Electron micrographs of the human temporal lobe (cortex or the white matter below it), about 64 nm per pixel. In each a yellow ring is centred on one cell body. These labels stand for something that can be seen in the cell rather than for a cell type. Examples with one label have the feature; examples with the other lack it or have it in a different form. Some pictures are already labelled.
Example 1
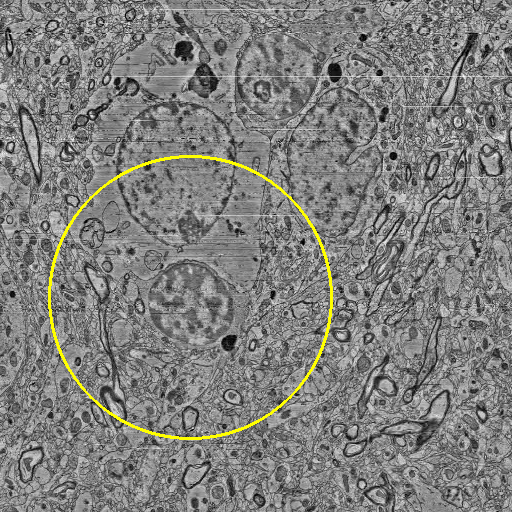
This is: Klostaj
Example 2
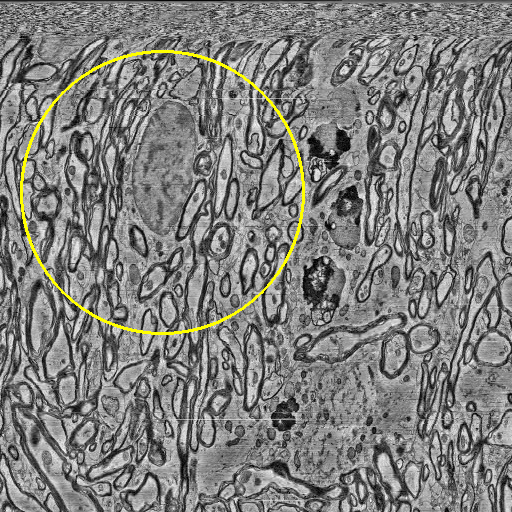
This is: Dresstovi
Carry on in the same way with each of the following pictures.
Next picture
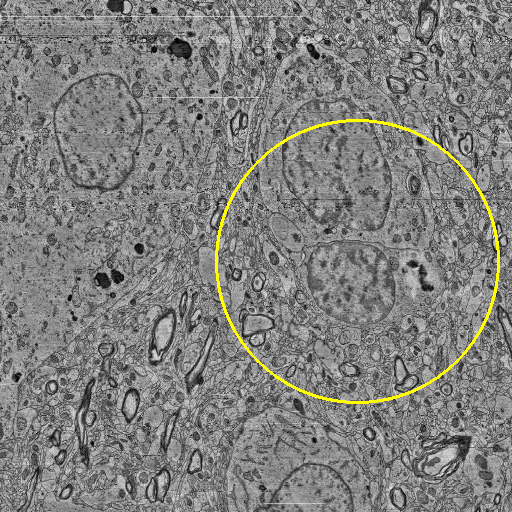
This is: Klostaj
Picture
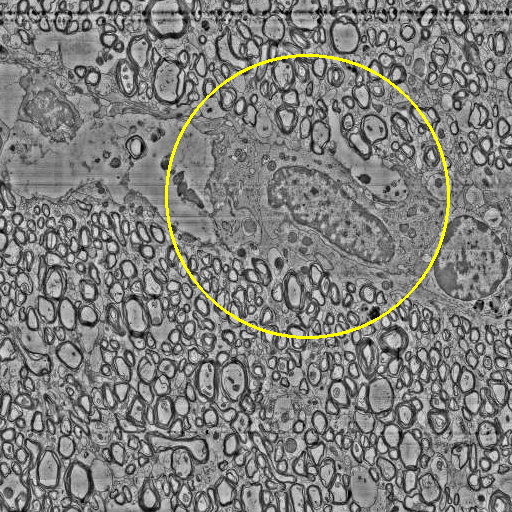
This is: Dresstovi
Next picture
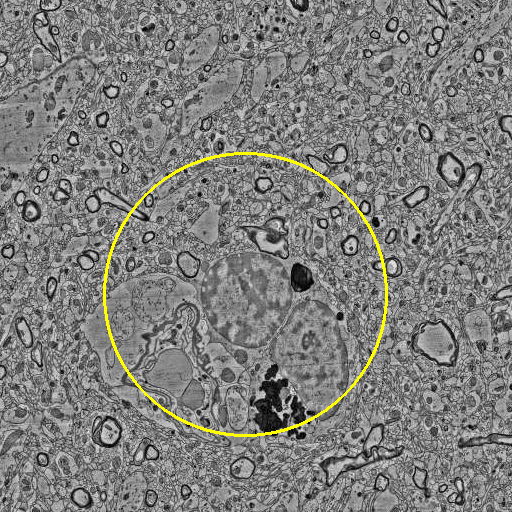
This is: Klostaj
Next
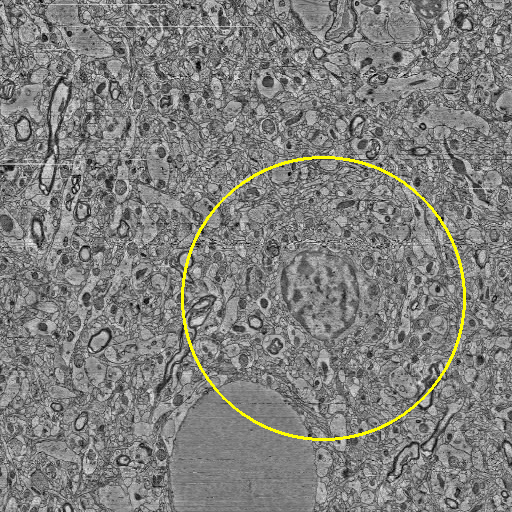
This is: Klostaj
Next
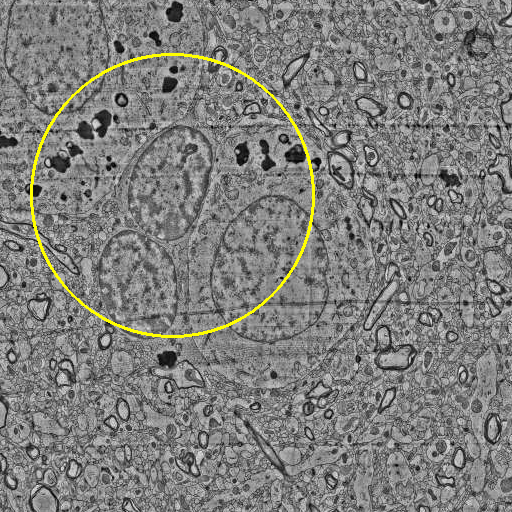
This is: Dresstovi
